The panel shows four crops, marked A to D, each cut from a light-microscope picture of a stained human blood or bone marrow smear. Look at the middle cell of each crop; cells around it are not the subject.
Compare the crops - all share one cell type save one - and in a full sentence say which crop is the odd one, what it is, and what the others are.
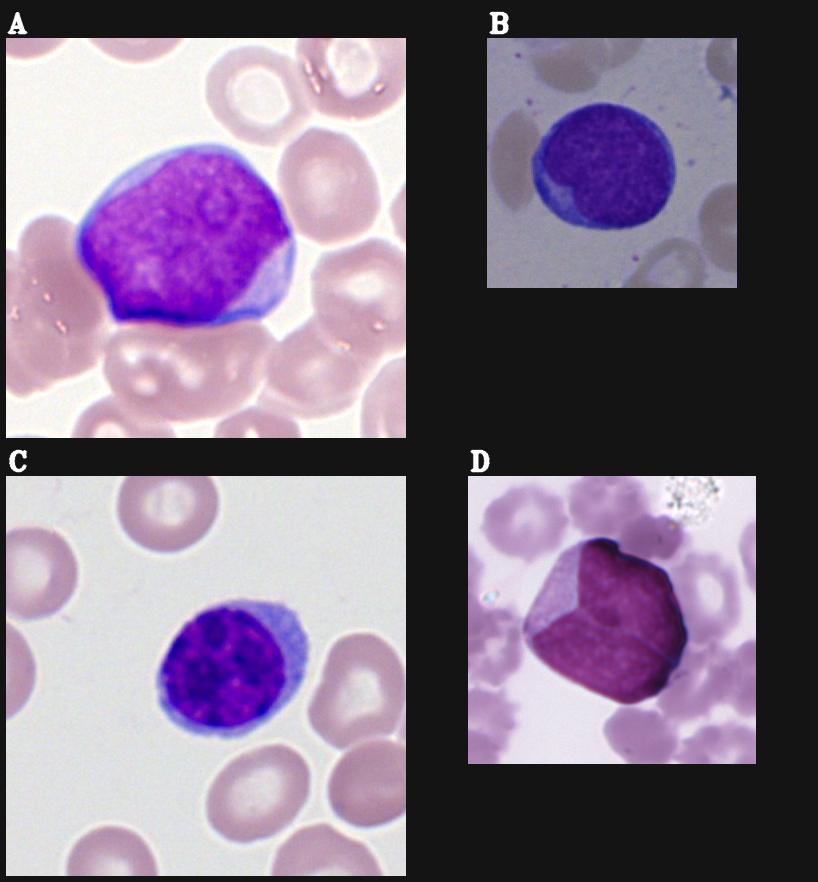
The one crop not showing blasts is crop C, which shows a lymphocyte.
